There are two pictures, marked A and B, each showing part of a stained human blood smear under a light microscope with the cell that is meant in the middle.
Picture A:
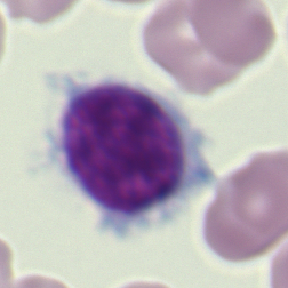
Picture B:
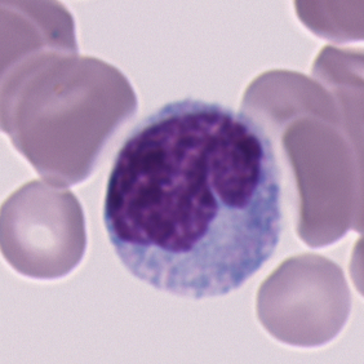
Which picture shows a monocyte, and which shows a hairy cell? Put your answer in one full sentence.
The cell in picture A is a hairy cell, and the one in picture B is a monocyte.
